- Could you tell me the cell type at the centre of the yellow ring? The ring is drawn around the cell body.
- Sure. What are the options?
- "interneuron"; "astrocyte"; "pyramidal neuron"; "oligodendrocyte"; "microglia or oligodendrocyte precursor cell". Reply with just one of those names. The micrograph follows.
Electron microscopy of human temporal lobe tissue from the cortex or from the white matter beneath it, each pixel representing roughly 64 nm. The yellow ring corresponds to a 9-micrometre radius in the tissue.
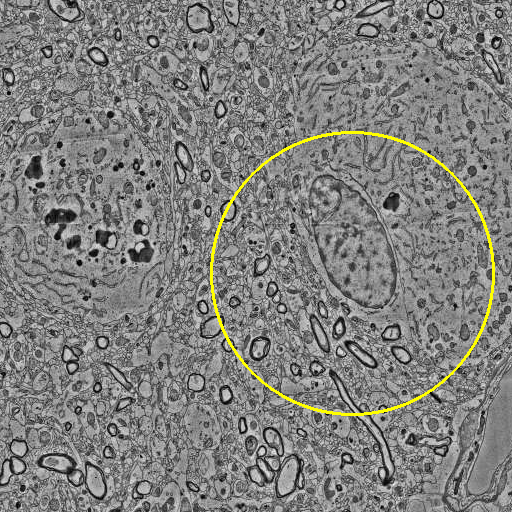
microglia or oligodendrocyte precursor cell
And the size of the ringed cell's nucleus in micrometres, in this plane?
About 9 by 5 micrometers in this plane, so the nucleus is clearly longer than it is wide.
